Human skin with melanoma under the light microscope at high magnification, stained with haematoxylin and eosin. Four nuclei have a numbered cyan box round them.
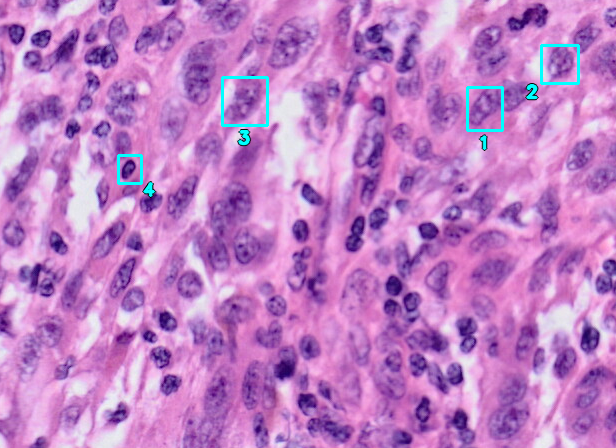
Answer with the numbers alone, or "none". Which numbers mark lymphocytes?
4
